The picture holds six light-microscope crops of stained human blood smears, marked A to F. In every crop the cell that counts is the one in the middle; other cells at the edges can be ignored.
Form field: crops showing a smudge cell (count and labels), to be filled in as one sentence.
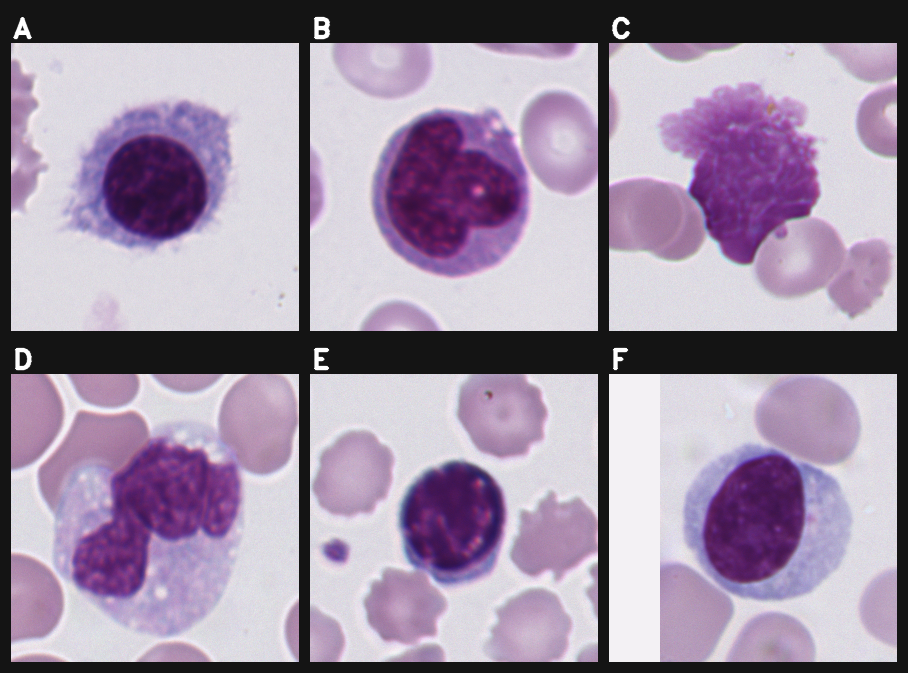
There is a single crop showing a smudge cell, and it carries the mark C.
